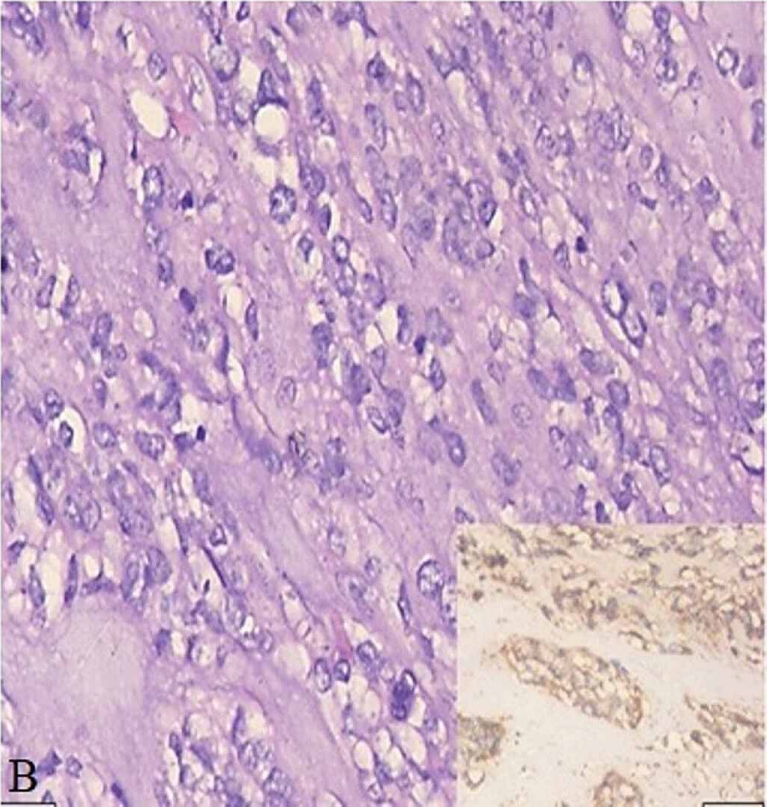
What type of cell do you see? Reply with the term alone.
epithelioid morphology of the tumor cells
